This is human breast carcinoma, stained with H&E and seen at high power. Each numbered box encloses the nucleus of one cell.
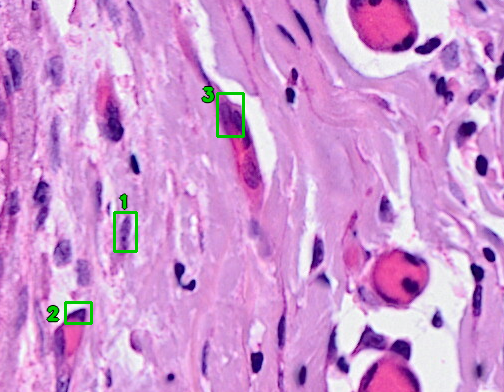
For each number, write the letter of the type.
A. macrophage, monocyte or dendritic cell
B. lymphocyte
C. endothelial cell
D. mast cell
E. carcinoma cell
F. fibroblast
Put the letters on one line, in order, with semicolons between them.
F; C; C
